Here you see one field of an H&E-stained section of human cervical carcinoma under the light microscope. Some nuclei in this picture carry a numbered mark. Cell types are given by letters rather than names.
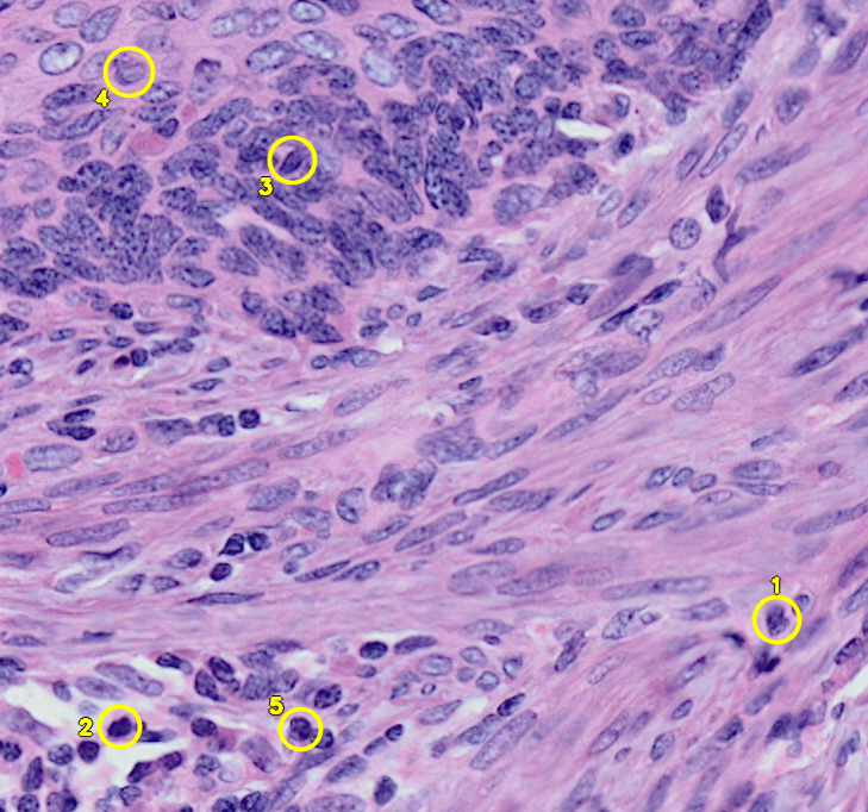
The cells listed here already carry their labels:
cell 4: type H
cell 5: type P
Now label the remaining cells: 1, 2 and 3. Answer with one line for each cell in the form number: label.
1: type P
2: type P
3: type H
